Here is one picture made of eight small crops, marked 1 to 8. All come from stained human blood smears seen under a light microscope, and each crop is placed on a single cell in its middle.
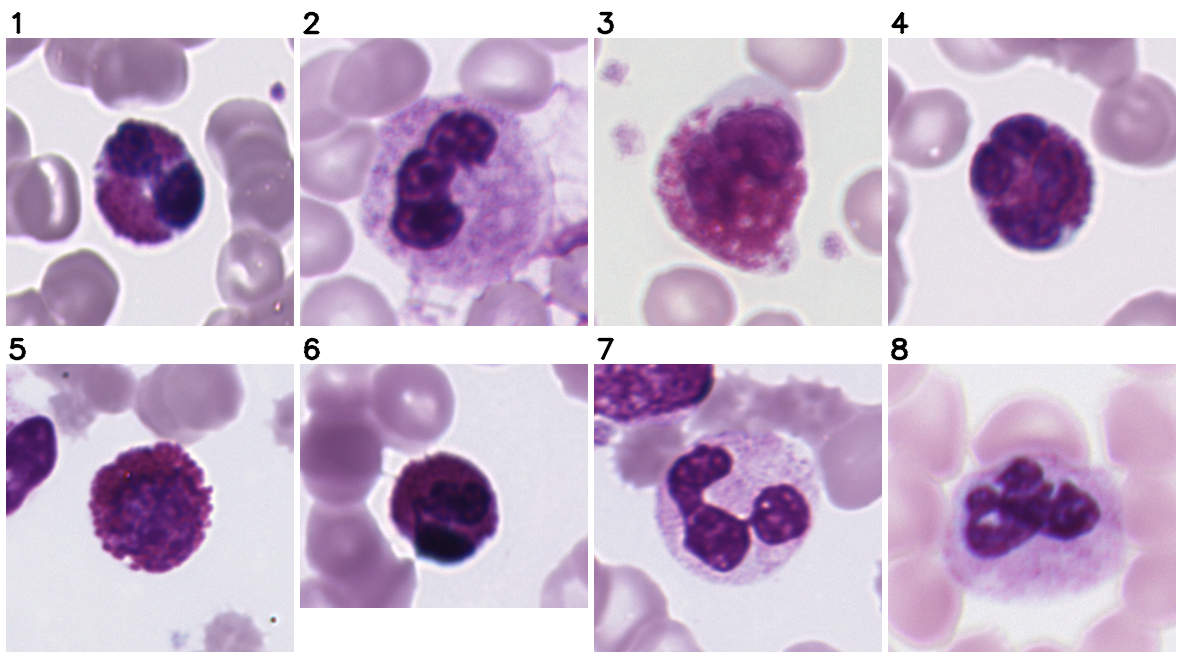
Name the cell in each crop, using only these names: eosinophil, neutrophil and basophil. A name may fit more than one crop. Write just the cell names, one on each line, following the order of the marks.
eosinophil
neutrophil
eosinophil
eosinophil
eosinophil
eosinophil
neutrophil
neutrophil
